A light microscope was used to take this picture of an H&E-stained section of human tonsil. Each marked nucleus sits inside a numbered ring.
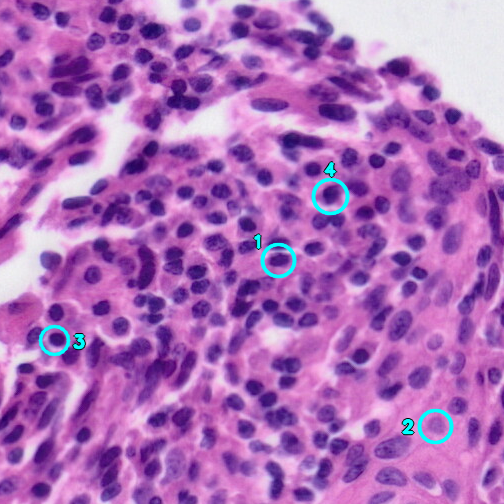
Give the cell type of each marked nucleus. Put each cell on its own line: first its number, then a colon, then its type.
1: plasma cell
2: squamous epithelial cell
3: plasma cell
4: plasma cell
